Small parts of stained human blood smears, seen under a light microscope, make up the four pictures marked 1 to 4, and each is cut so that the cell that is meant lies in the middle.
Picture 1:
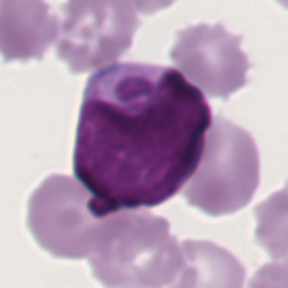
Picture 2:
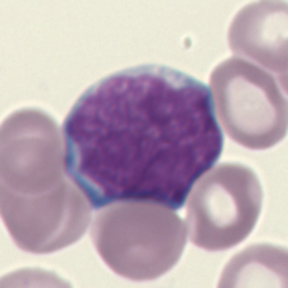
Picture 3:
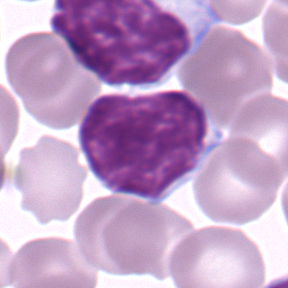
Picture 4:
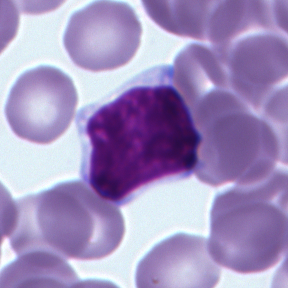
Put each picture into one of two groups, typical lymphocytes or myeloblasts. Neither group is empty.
1: myeloblast
2: myeloblast
3: typical lymphocyte
4: typical lymphocyte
